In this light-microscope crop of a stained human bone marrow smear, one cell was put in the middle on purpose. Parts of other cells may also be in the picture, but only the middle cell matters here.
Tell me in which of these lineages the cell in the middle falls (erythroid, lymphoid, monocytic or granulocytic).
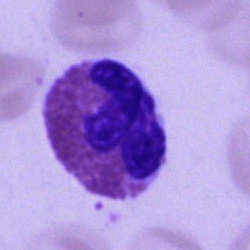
granulocytic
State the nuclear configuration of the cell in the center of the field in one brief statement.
This cell has a nucleus made up of two or more segments.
